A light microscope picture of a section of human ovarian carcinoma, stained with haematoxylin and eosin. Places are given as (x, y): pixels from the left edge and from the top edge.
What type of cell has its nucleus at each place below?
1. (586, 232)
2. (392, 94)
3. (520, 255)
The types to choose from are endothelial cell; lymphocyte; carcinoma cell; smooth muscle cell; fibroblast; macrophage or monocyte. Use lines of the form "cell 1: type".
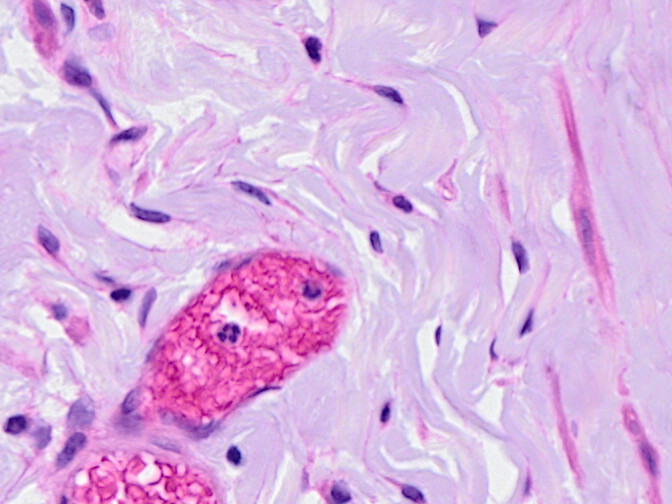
cell 1: smooth muscle cell
cell 2: fibroblast
cell 3: fibroblast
